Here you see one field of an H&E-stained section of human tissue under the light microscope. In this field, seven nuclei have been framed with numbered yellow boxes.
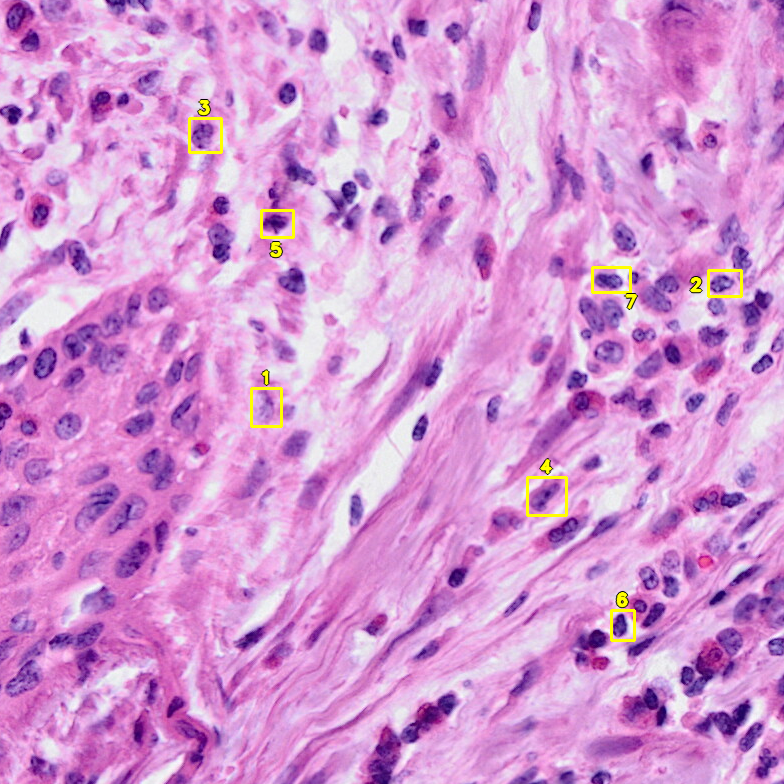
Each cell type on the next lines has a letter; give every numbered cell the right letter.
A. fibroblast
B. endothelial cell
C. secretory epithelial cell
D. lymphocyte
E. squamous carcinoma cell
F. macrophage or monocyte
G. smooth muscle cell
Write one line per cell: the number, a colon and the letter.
1: A
2: D
3: F
4: F
5: D
6: D
7: D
